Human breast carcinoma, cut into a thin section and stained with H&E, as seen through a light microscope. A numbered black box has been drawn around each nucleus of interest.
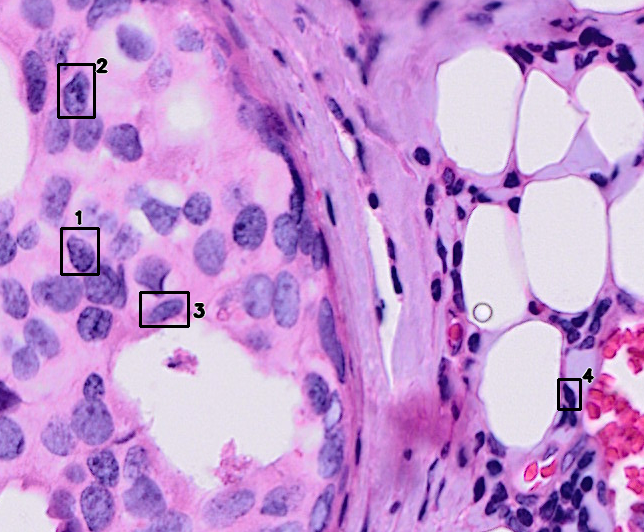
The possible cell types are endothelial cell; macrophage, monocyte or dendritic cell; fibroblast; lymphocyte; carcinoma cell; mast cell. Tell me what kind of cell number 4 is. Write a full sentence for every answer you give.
In the marked set, the cell given number 4 is a lymphocyte.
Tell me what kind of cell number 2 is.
Identified as a carcinoma cell is the cell bearing the number 2.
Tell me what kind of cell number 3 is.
The identity of cell 3 is that of a carcinoma cell.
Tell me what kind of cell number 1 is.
Here, the cell given the number 1 is a carcinoma cell.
